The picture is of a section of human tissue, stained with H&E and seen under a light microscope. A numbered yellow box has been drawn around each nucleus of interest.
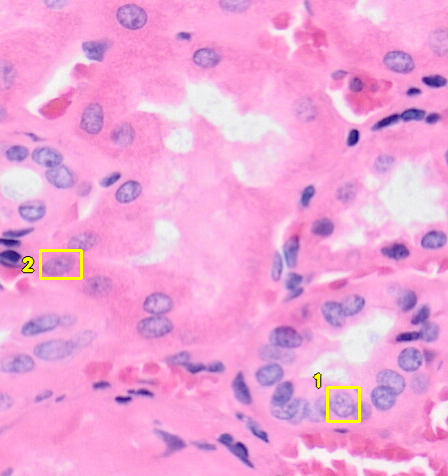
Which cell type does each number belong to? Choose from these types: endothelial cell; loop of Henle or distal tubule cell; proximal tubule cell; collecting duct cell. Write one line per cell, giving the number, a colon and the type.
1: collecting duct cell
2: proximal tubule cell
